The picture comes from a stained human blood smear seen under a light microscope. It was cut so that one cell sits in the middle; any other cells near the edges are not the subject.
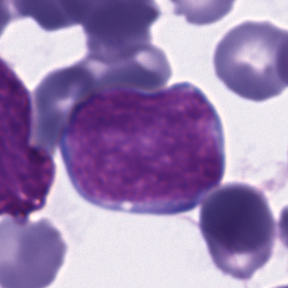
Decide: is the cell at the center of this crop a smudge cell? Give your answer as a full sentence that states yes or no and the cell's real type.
No, the cell at the centre of the crop corresponds to a myeloblast, not a smudge cell.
